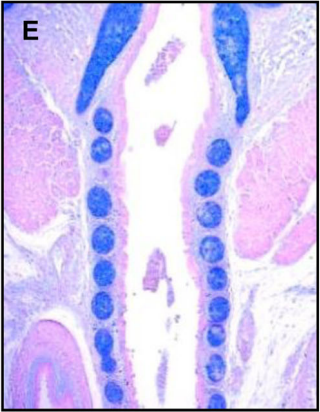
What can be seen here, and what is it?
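Section through the trachea showing its cartilage rings, stained deep blue, lying in two parallel rows on either side of a pale central lumen. Each row consists of a series of separate rounded to oval blue blocks of cartilage, evenly spaced and divided from one another by thin strips of unstained connective tissue. The cartilage has a finely stippled texture from its embedded cells. Outside the rows lies pink-stained muscle and loose connective tissue; at the top a larger elongated blue cartilage piece continues each row, and at the lower left a curved pink and blue structure lies at the edge.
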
